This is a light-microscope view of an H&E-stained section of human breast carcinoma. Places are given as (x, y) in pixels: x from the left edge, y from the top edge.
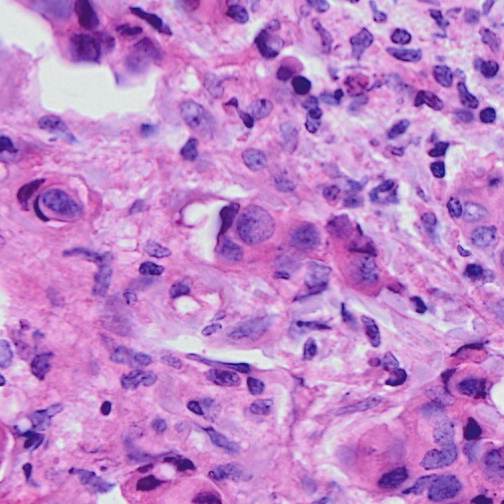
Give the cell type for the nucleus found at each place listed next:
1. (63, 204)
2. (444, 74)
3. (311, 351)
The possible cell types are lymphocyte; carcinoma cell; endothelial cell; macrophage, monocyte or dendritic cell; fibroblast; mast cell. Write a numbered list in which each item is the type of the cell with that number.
1. carcinoma cell
2. lymphocyte
3. lymphocyte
